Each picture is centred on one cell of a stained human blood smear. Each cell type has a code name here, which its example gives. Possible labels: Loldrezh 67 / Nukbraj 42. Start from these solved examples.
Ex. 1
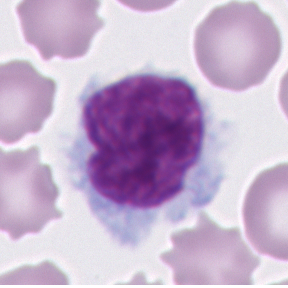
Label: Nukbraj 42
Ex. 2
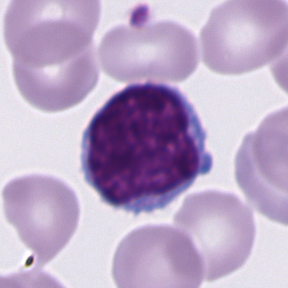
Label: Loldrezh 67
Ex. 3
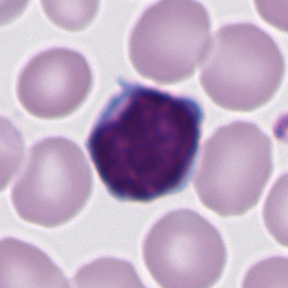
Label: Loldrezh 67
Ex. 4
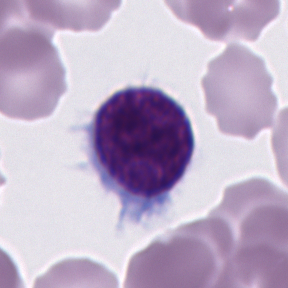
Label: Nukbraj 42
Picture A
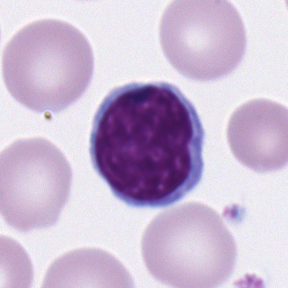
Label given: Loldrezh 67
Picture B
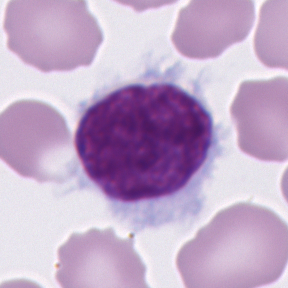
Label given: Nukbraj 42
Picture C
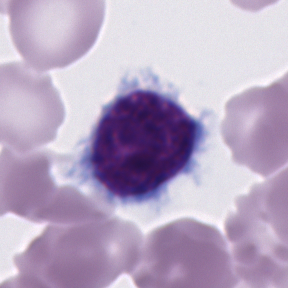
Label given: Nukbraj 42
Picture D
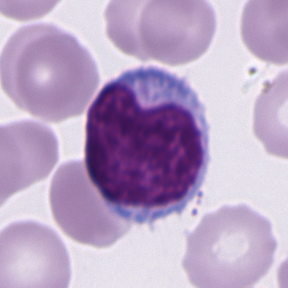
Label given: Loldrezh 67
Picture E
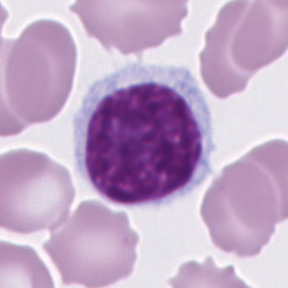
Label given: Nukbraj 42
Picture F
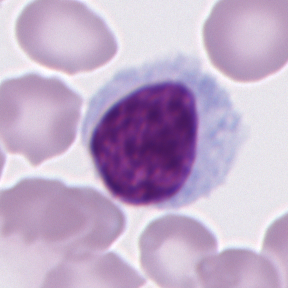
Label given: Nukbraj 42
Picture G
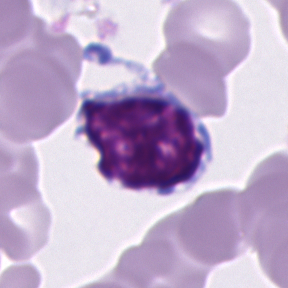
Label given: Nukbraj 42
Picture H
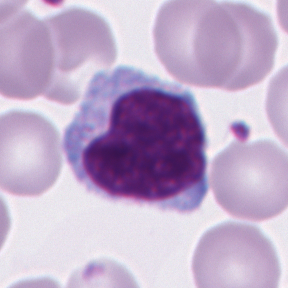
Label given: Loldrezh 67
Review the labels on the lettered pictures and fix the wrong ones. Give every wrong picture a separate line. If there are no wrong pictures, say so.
G: Loldrezh 67, not Nukbraj 42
